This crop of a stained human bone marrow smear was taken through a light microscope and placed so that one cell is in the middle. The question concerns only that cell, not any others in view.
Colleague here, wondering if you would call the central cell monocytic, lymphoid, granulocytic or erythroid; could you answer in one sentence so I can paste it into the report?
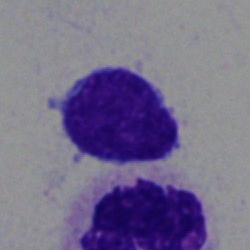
The centered cell is one of the lymphoid lineage.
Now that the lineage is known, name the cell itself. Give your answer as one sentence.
The cell under consideration, at the middle of the crop, is a lymphocyte.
